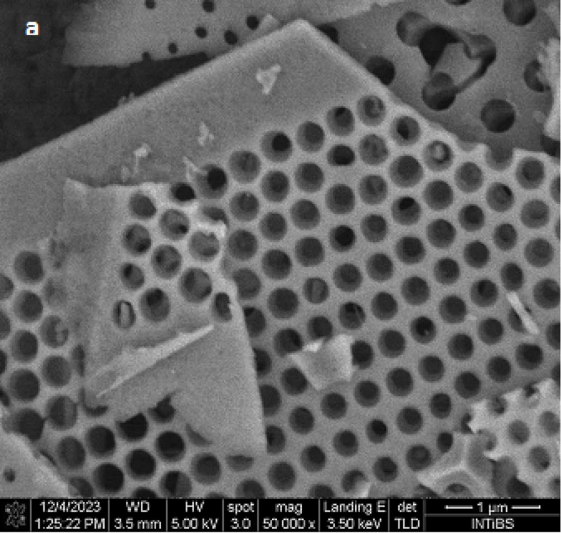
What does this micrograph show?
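The largest fragment is a thin flat plate pierced by many round pores of nearly equal size. The pores are set in regular, closely spaced rows forming a hexagonal pattern, with smooth wall material between them. Part of the plate near its upper edge is unperforated and smooth. Small angular flakes and a few loose fragments of other perforated plates lie on top of and around it.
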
